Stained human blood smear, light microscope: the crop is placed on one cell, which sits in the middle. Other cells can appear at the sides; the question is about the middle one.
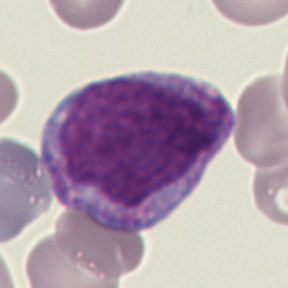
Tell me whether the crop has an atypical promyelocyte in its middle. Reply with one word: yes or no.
yes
